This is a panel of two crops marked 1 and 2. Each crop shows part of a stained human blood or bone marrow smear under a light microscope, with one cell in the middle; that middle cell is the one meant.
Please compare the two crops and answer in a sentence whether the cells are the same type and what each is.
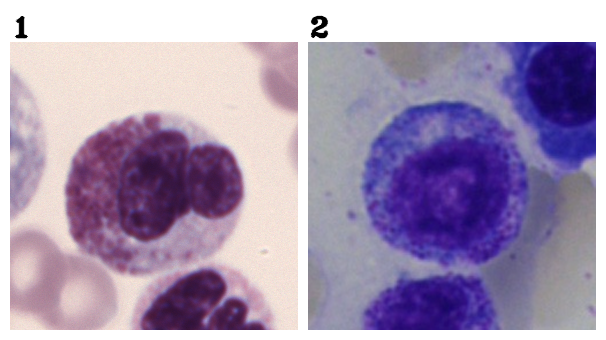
No, the cell centred in crop 1 is an eosinophil, and that centred in crop 2 is a promyelocyte.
